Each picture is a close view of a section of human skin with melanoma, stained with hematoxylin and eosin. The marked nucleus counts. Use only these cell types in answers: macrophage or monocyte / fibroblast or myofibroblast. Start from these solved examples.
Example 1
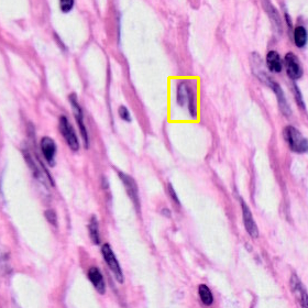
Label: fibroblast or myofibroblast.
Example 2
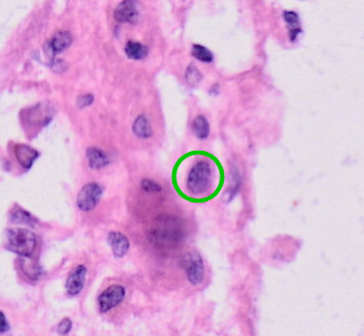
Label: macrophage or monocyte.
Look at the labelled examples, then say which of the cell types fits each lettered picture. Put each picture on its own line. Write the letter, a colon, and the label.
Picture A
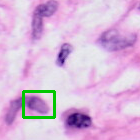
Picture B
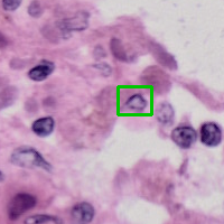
A: macrophage or monocyte.
B: macrophage or monocyte.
